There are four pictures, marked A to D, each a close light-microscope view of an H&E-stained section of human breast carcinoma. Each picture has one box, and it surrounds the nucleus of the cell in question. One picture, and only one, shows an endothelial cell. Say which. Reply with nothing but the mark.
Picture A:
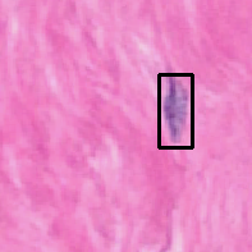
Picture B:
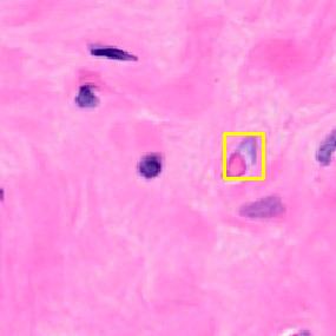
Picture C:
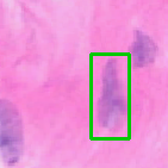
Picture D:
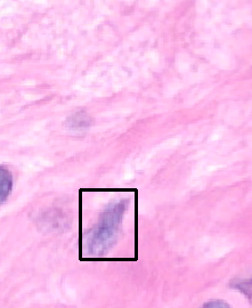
B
